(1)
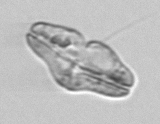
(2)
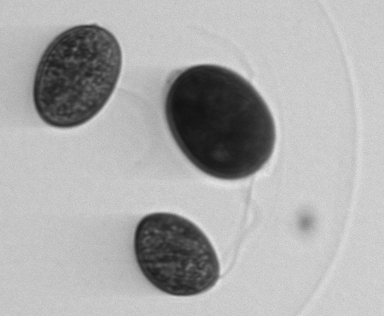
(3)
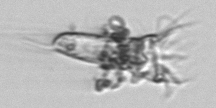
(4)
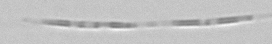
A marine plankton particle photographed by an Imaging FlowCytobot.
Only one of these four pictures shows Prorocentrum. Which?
Picture 2.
